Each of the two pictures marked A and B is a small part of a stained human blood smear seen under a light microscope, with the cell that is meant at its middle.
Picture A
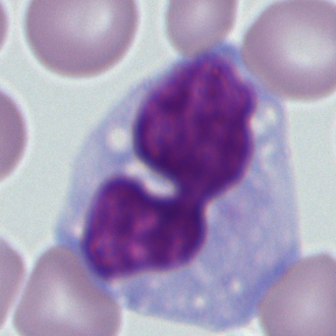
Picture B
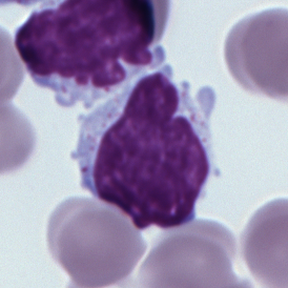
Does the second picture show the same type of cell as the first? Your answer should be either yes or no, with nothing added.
no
